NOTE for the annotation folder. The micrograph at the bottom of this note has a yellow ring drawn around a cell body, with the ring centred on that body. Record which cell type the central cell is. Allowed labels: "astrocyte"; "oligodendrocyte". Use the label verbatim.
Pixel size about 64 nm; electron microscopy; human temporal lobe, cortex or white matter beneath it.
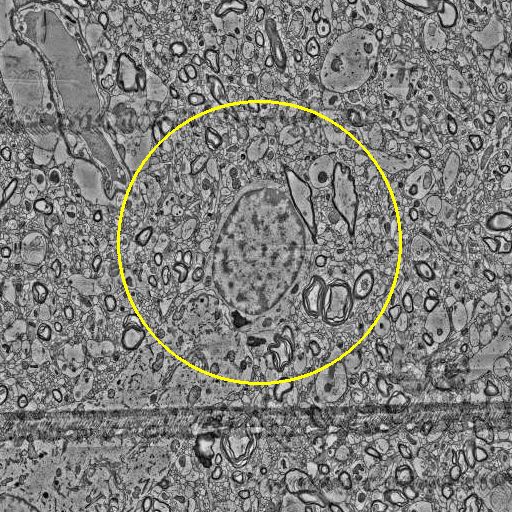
oligodendrocyte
